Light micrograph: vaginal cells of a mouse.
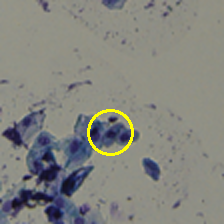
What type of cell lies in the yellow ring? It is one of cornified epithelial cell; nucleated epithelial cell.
The ringed cell is a nucleated epithelial cell.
